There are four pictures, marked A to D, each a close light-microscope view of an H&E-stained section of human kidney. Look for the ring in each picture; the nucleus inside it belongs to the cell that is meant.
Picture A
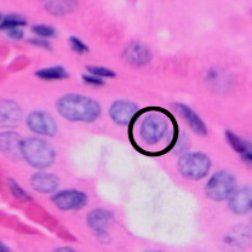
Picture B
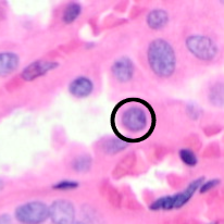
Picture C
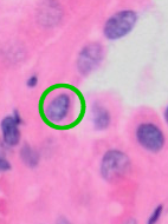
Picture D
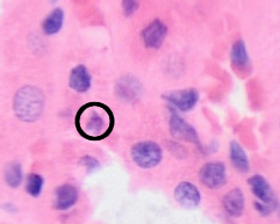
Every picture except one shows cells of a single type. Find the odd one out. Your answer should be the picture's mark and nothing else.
A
